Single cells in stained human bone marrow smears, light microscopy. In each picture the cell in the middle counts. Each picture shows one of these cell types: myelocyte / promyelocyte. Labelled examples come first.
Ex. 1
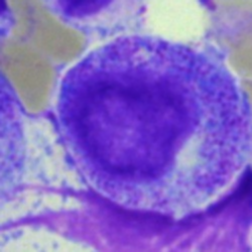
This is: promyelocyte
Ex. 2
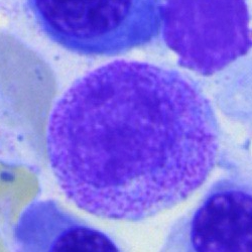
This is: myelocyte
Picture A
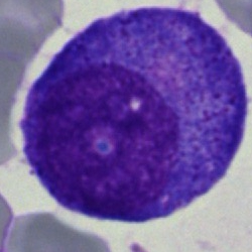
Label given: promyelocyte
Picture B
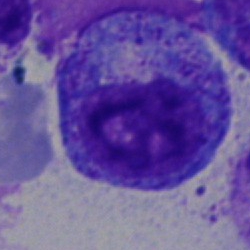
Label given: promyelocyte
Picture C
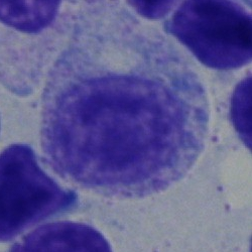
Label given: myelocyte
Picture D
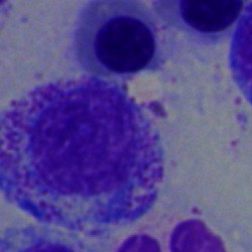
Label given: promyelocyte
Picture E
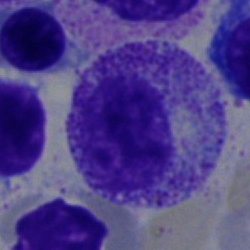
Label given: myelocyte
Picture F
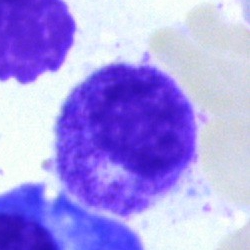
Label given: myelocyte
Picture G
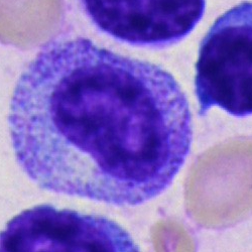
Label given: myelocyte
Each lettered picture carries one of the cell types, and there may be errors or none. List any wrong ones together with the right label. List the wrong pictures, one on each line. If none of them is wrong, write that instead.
D: myelocyte, not promyelocyte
